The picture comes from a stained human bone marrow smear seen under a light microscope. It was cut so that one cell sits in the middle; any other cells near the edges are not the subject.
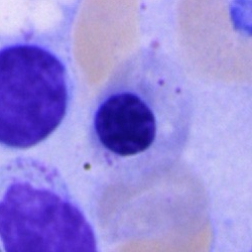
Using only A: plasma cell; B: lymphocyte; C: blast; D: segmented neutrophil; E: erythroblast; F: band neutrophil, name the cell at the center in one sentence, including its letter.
Option E is the correct one; it names the central cell as an erythroblast.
